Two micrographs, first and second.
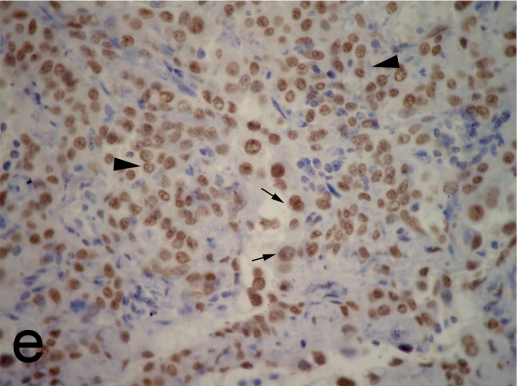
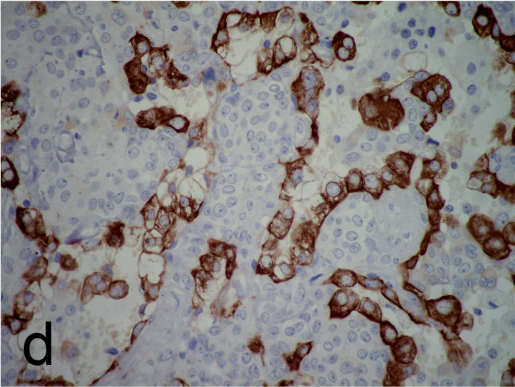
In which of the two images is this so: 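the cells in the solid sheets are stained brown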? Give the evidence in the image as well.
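The first image. Second image: only the cells lining the spaces are brown; the sheets between are blue. First image: nuclei throughout the solid sheets are brown.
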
